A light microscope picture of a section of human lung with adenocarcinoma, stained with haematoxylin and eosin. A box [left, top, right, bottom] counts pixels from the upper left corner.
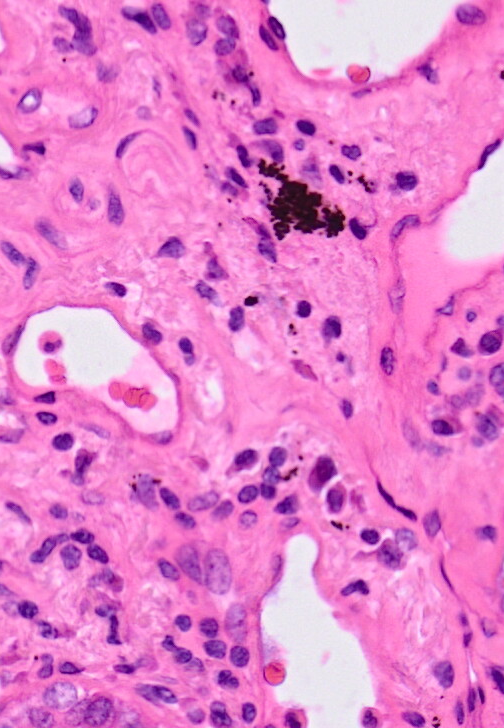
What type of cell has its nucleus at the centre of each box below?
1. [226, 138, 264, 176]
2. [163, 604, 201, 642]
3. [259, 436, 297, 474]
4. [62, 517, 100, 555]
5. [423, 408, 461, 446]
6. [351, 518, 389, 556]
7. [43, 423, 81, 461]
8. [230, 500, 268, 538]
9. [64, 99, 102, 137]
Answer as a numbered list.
1. plasma cell
2. lymphocyte
3. lymphocyte
4. lymphocyte
5. plasma cell
6. lymphocyte
7. lymphocyte
8. mast cell
9. endothelial cell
